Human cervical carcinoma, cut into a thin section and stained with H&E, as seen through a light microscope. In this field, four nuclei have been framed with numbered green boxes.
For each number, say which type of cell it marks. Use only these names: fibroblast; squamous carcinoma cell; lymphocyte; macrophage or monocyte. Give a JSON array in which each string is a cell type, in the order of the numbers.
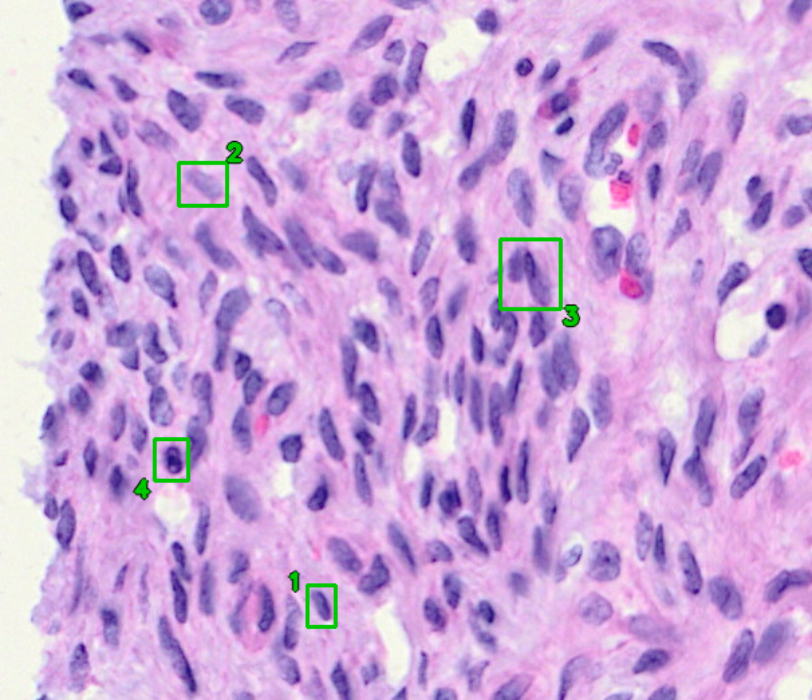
["fibroblast", "fibroblast", "fibroblast", "lymphocyte"]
